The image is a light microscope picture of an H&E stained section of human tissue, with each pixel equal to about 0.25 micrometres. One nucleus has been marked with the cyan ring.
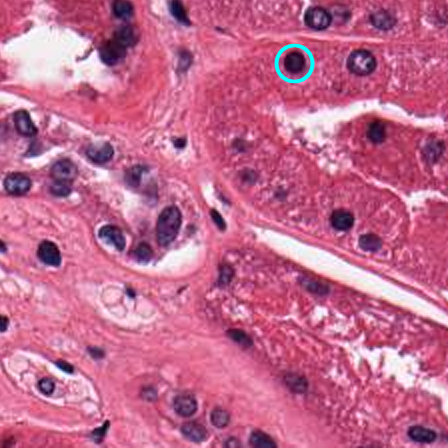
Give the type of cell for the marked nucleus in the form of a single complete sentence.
The nucleus that the mark indicates belongs to a proximal tubule cell.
